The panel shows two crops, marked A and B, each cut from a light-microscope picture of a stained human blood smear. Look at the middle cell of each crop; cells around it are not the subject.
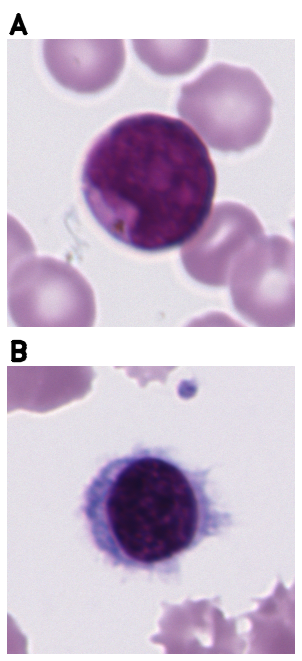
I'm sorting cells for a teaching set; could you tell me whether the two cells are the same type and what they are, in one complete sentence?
No, crop A represents a myeloblast, and crop B represents a hairy cell.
